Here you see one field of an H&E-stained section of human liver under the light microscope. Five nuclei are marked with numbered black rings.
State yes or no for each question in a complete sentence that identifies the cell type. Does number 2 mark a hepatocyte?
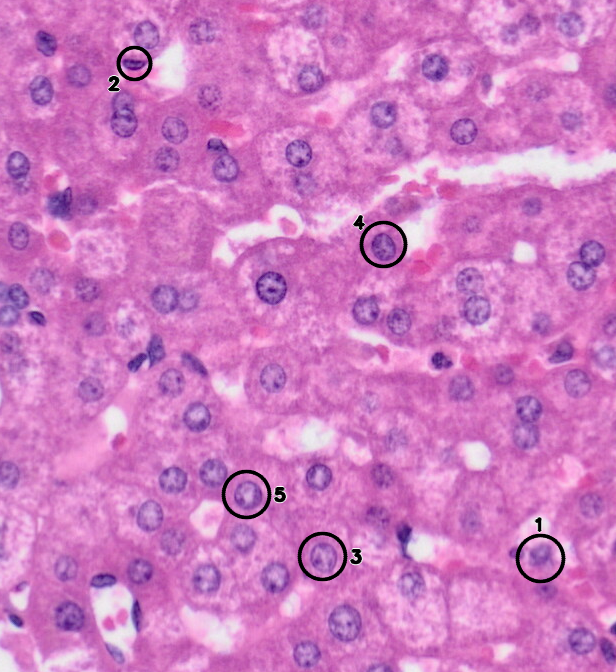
No, sorry, the cell labelled 2 is not a hepatocyte; it is a fibroblast or stellate cell.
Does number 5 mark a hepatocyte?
Yes, cell number 5 in this section is a hepatocyte.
